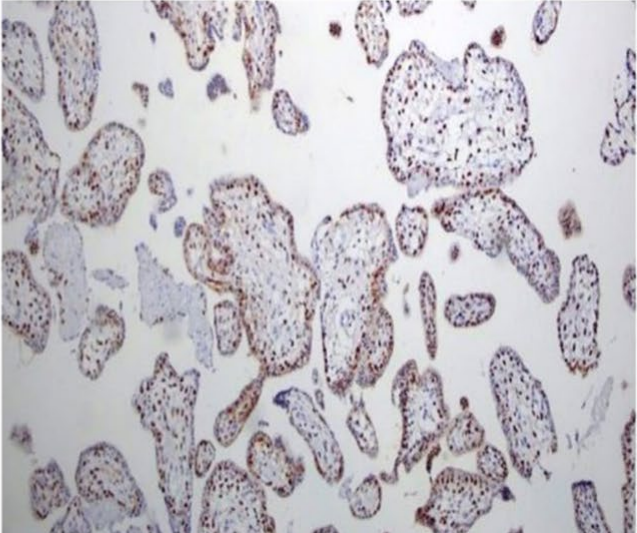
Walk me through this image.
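Placental villi of varying size, round to irregular, lie scattered across a clear background. A layer of cells on the villous surfaces has brown-stained nuclei. Many nuclei scattered in the loose villous stroma are also brown, mixed with blue-counterstained nuclei. A few villi appear paler, with mostly blue nuclei.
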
